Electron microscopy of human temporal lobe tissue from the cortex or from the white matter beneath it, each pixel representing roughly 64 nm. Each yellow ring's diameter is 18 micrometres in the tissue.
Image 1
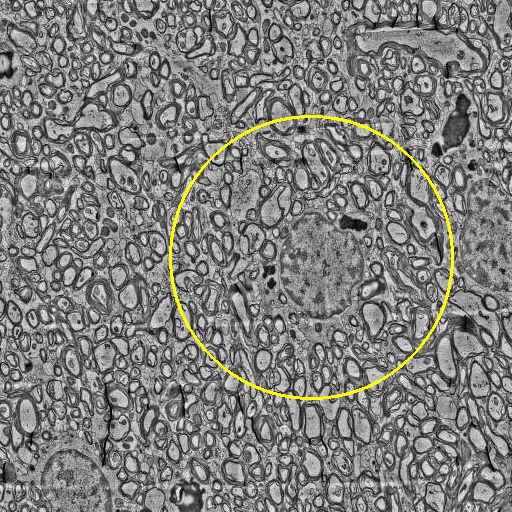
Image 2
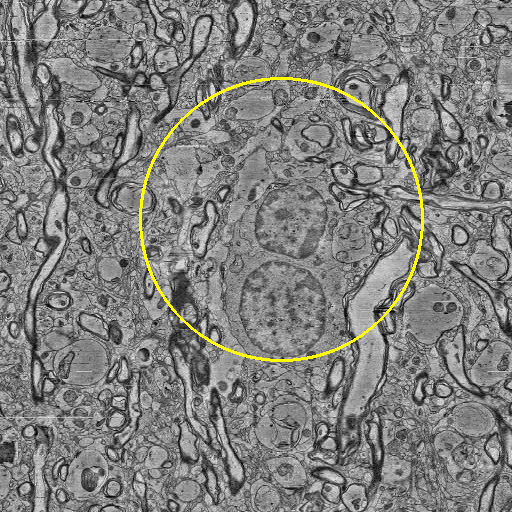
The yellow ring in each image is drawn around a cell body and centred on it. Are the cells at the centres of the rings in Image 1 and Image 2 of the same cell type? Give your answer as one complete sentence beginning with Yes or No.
Yes, both cells are of the same type.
